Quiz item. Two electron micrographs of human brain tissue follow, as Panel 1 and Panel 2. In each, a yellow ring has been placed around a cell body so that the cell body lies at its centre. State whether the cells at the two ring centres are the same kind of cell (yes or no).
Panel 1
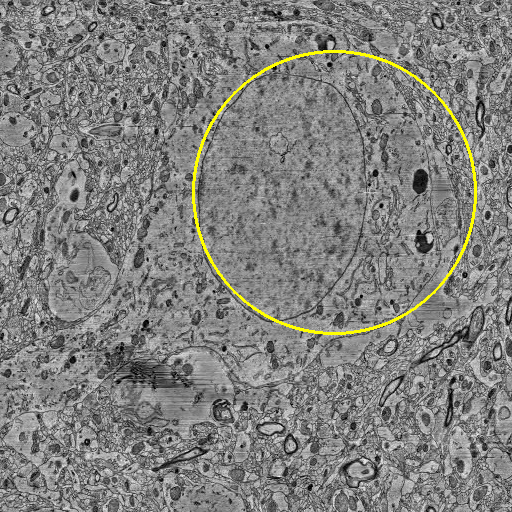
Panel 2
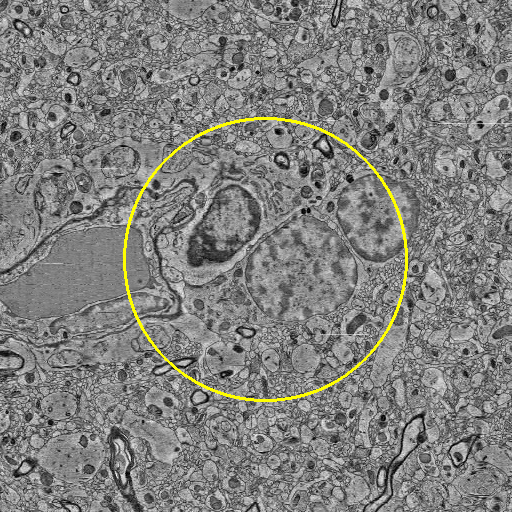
no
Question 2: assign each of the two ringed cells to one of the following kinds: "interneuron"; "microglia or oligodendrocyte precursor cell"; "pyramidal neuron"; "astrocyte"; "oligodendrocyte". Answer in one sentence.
The two cells are a pyramidal neuron in the first picture and an oligodendrocyte in the second.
